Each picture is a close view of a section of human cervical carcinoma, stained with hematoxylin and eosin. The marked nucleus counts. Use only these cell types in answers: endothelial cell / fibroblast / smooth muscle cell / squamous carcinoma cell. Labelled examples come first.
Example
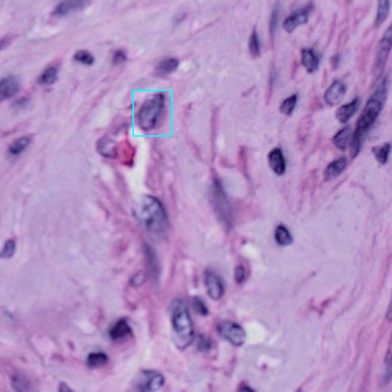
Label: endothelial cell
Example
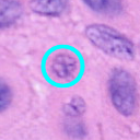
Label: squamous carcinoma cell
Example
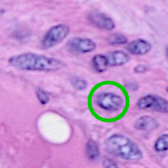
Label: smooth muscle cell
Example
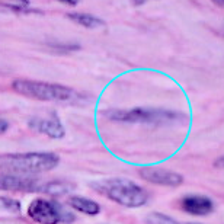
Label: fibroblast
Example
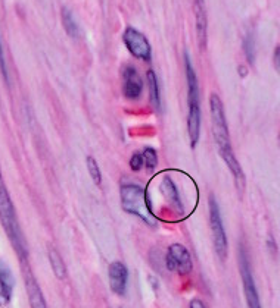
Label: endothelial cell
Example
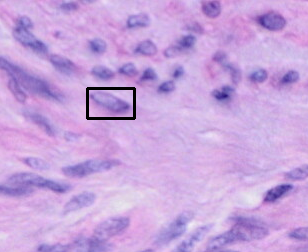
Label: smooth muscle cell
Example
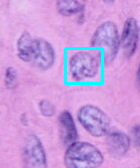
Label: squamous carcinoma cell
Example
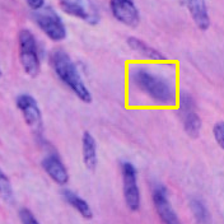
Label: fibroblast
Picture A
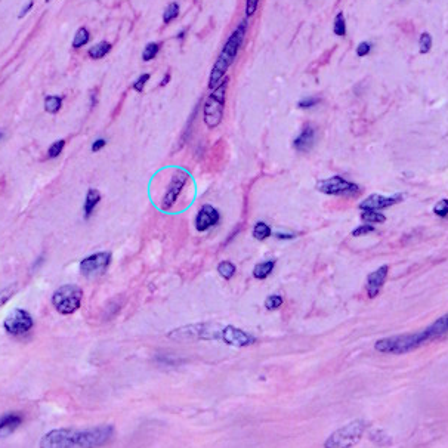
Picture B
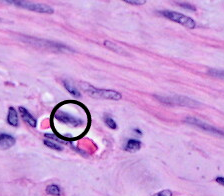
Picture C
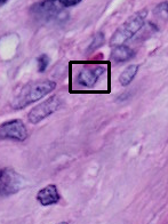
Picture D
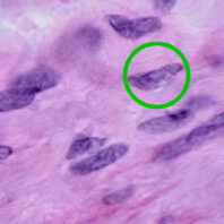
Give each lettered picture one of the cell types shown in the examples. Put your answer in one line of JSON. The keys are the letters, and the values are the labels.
{"A": "endothelial cell", "B": "endothelial cell", "C": "endothelial cell", "D": "fibroblast"}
